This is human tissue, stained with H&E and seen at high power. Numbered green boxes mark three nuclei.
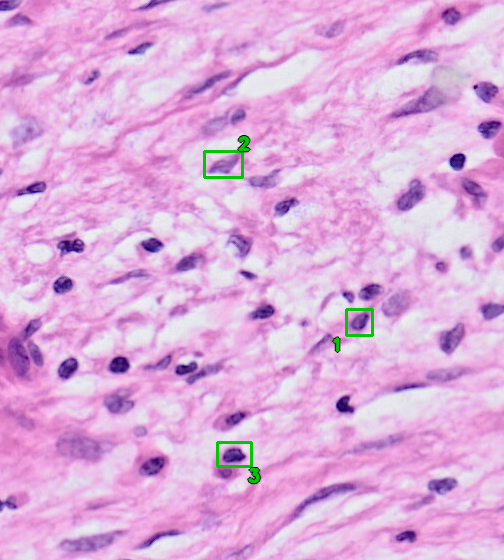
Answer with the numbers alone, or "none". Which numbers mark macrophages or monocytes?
1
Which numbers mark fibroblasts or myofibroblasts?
2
